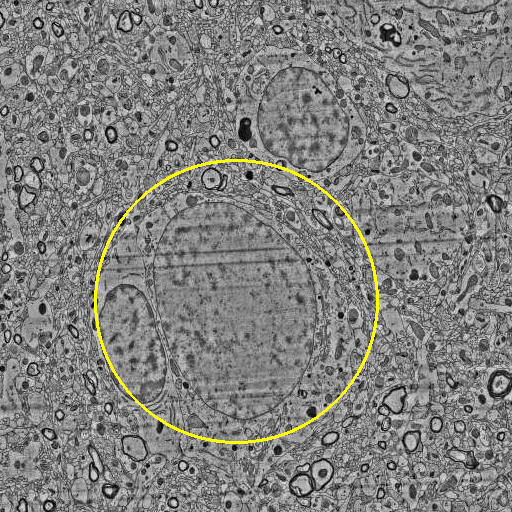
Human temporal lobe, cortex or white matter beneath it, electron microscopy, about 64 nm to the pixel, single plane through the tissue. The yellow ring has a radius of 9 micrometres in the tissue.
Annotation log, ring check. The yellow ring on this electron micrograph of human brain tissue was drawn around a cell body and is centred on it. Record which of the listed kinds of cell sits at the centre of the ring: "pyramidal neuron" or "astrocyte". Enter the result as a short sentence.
The cell at the centre of the ring is a pyramidal neuron.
